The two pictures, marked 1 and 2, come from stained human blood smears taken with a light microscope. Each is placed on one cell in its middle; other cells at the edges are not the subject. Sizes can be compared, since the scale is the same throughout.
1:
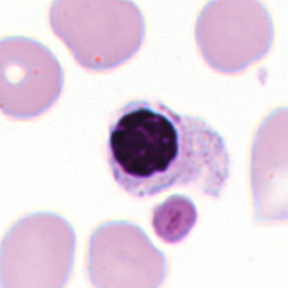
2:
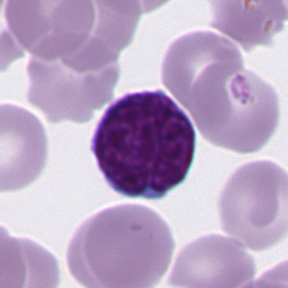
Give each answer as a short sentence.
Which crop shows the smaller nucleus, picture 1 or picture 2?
Smaller is the nucleus in picture 1, and the other is about 2.5 times as large in area.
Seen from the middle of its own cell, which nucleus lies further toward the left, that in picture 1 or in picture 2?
Seen within its cell, the nucleus in picture 1 lies further toward the left.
